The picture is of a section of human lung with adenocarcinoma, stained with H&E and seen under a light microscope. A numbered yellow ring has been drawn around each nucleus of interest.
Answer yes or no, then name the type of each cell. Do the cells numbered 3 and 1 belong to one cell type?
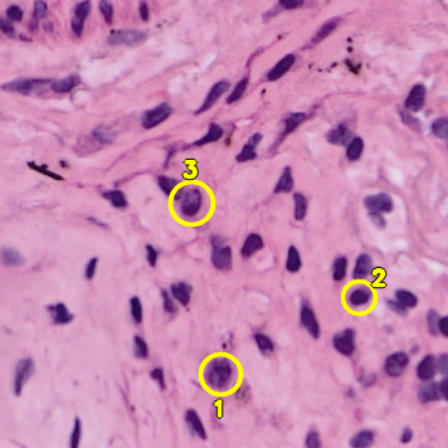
Yes, both are plasma cells.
